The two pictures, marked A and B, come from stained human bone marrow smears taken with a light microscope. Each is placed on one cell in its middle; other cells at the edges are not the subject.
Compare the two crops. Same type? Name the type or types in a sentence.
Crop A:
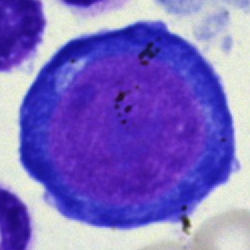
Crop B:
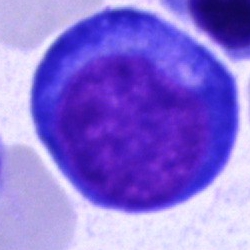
Yes, both crops here show proerythroblasts, the pair of them.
